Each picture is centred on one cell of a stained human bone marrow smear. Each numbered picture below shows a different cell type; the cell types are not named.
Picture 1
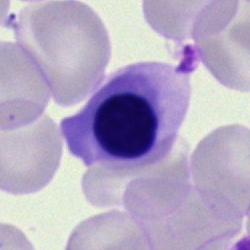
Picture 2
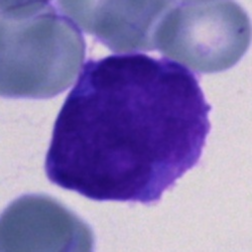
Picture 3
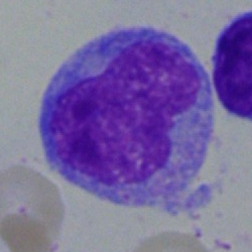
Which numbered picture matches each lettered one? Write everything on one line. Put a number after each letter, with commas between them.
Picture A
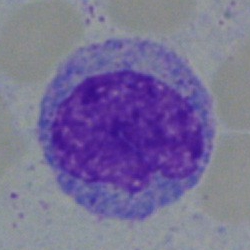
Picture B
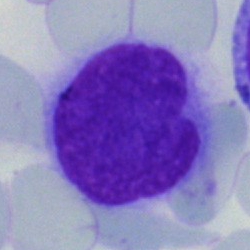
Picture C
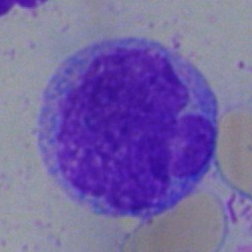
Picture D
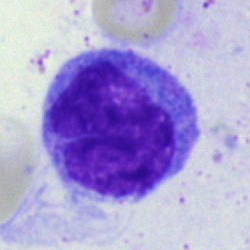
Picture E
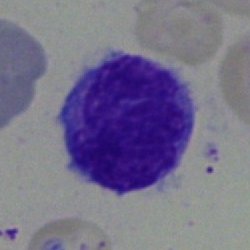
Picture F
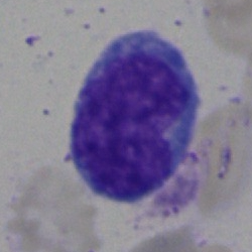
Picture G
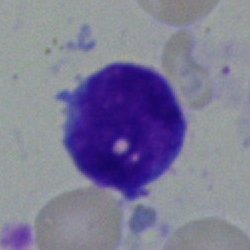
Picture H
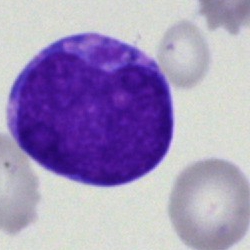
A 3, B 2, C 2, D 3, E 3, F 2, G 2, H 2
